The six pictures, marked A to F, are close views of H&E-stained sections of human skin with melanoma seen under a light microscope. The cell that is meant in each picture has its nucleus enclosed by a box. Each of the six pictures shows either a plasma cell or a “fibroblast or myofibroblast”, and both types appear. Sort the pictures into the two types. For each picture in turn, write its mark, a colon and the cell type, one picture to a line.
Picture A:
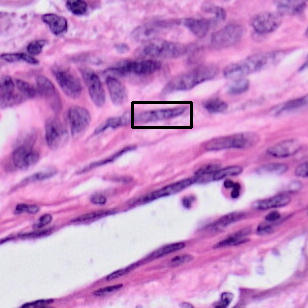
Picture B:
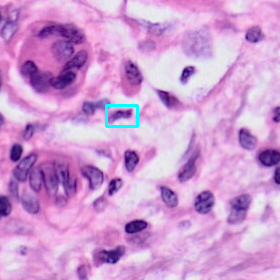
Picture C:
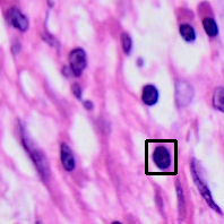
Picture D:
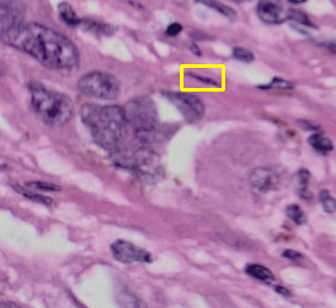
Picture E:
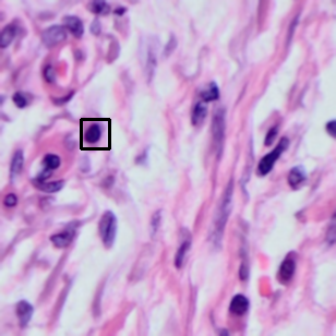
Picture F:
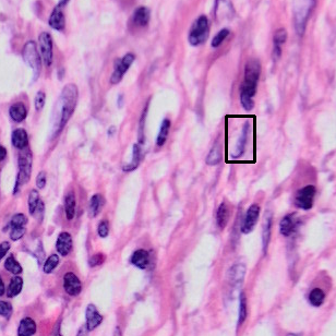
A: fibroblast or myofibroblast
B: fibroblast or myofibroblast
C: plasma cell
D: fibroblast or myofibroblast
E: plasma cell
F: fibroblast or myofibroblast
